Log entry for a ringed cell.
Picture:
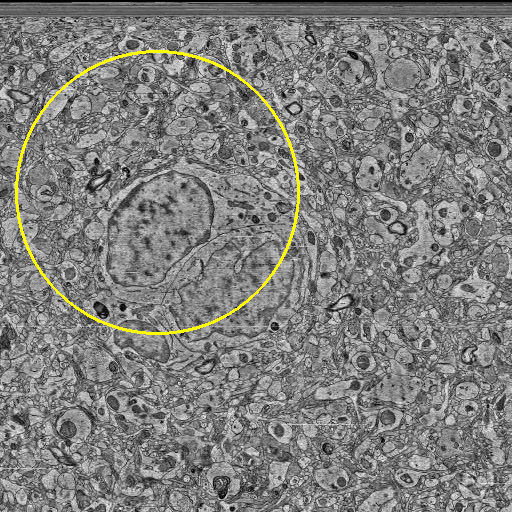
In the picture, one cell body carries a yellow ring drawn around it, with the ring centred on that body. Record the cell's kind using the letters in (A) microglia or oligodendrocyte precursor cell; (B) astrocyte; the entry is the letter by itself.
A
